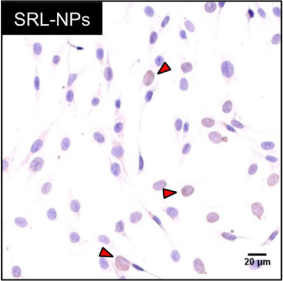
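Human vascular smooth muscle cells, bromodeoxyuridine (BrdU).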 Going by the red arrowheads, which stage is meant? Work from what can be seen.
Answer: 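The marked nuclei are stained brown.
Proliferating cells.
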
